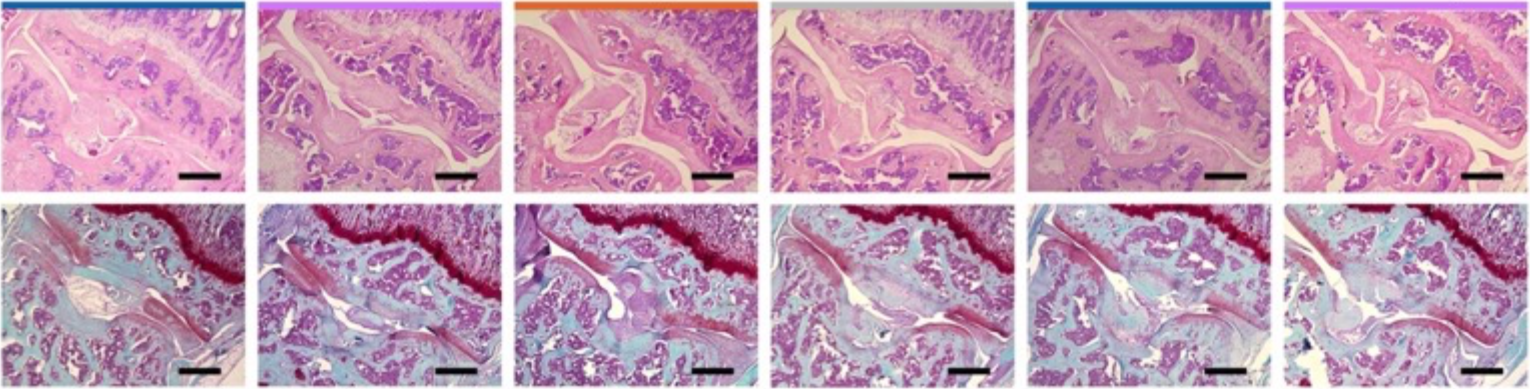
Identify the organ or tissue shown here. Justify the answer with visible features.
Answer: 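Knees. Sections show two bone ends with marrow spaces facing each other across a joint gap. Articular surfaces are lined by smooth cartilage layers.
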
